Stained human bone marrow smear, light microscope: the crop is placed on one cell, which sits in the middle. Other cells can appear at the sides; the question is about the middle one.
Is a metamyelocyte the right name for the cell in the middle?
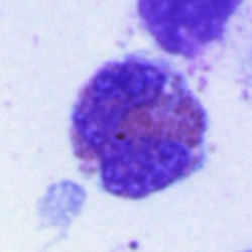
no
